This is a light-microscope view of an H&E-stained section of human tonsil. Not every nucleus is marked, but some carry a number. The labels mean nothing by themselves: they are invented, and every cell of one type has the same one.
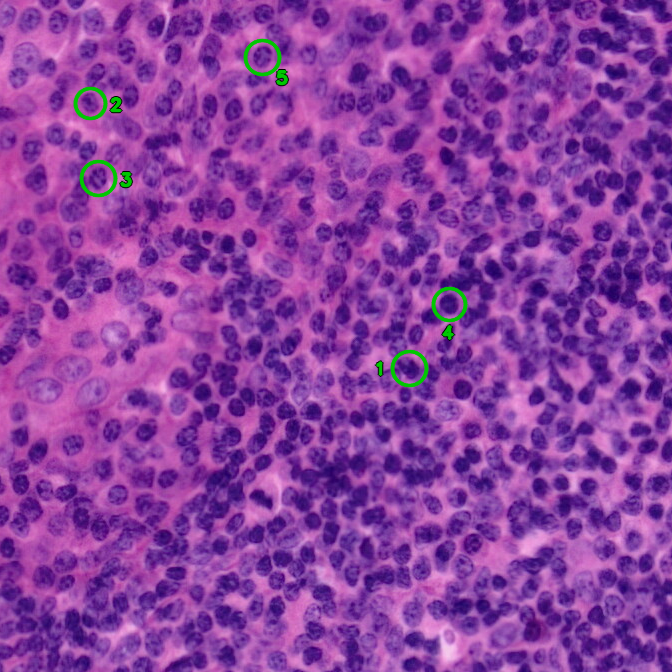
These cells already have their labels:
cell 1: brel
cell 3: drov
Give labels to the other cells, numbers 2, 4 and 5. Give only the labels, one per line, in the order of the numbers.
drov
brel
drov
